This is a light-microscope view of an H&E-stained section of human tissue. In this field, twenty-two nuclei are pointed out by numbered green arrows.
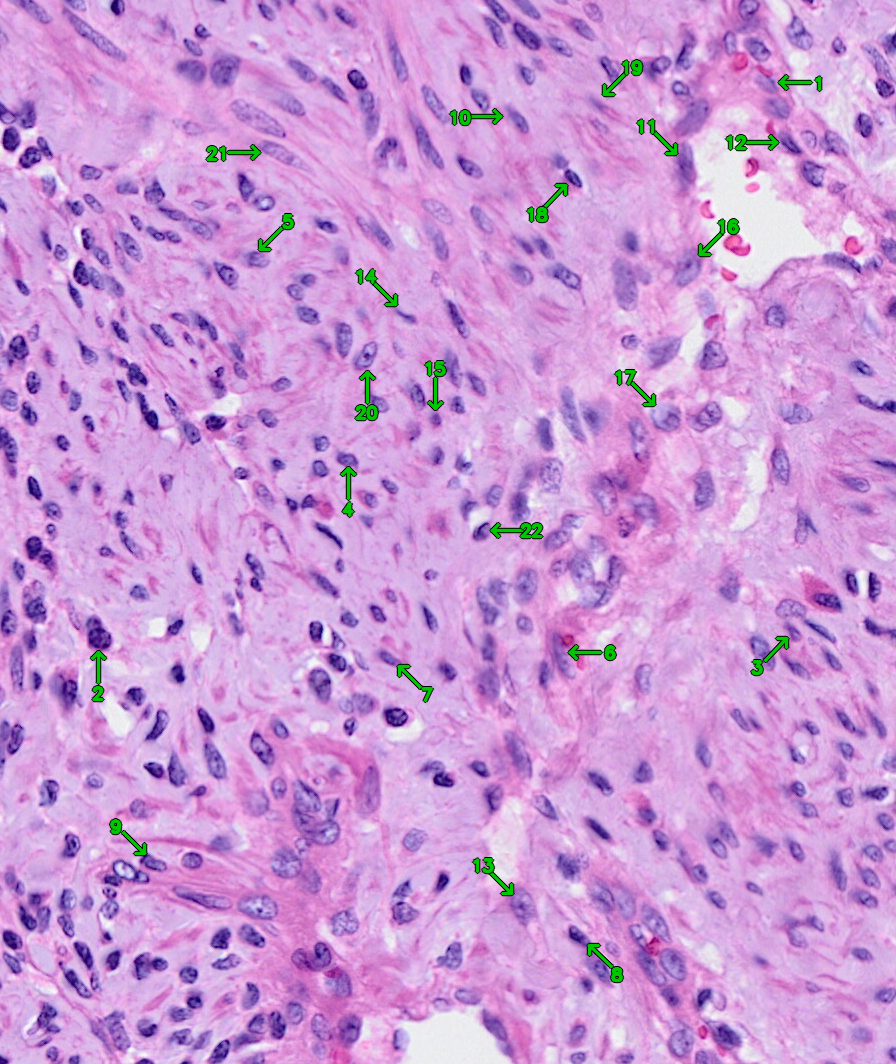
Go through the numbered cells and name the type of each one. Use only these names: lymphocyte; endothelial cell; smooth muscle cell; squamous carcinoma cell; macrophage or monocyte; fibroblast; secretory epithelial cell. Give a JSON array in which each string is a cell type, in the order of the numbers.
["endothelial cell", "lymphocyte", "smooth muscle cell", "smooth muscle cell", "smooth muscle cell", "endothelial cell", "smooth muscle cell", "lymphocyte", "smooth muscle cell", "smooth muscle cell", "endothelial cell", "endothelial cell", "endothelial cell", "smooth muscle cell", "smooth muscle cell", "endothelial cell", "endothelial cell", "lymphocyte", "smooth muscle cell", "smooth muscle cell", "smooth muscle cell", "lymphocyte"]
